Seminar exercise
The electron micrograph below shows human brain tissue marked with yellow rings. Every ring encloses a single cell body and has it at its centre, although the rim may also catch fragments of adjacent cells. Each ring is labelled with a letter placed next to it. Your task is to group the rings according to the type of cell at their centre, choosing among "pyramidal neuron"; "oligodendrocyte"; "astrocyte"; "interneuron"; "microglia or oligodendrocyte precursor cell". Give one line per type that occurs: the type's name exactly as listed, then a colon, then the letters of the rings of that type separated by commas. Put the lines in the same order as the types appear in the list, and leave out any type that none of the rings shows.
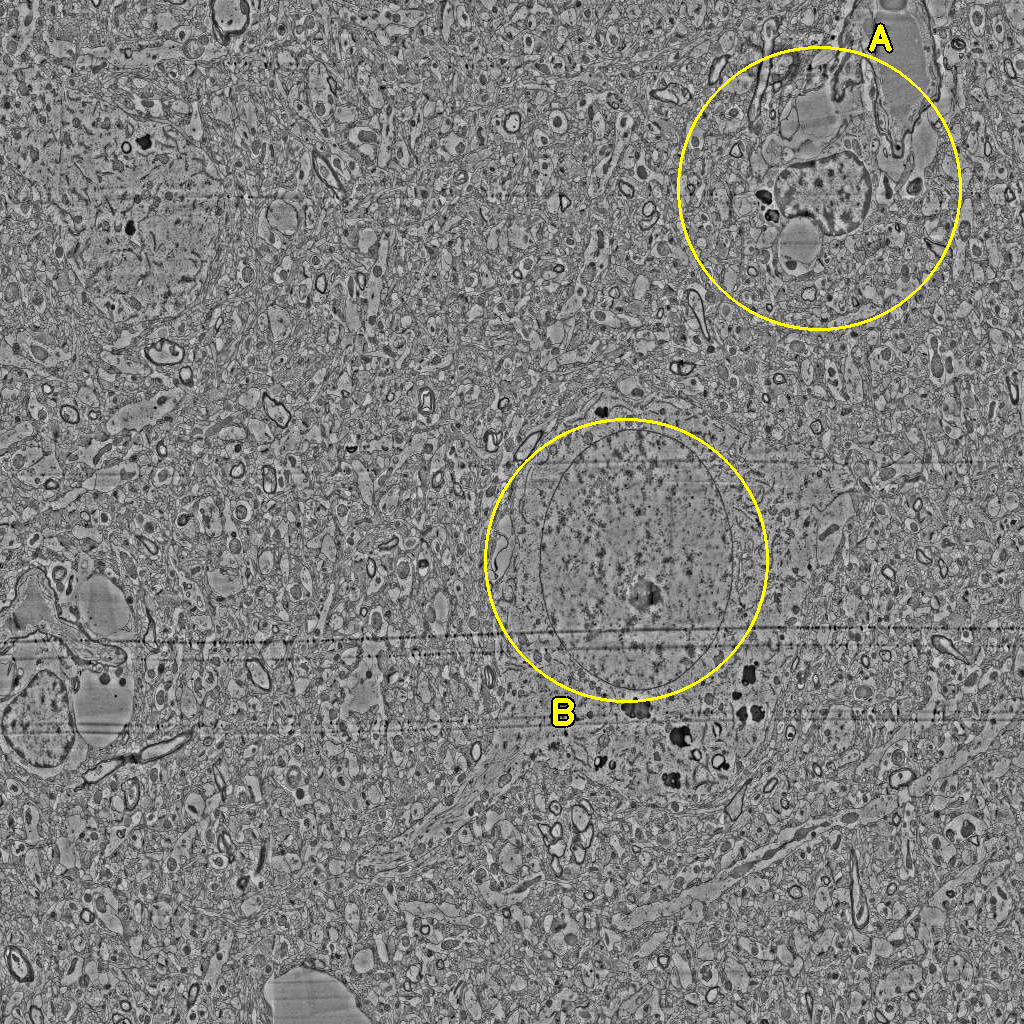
pyramidal neuron: B
microglia or oligodendrocyte precursor cell: A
